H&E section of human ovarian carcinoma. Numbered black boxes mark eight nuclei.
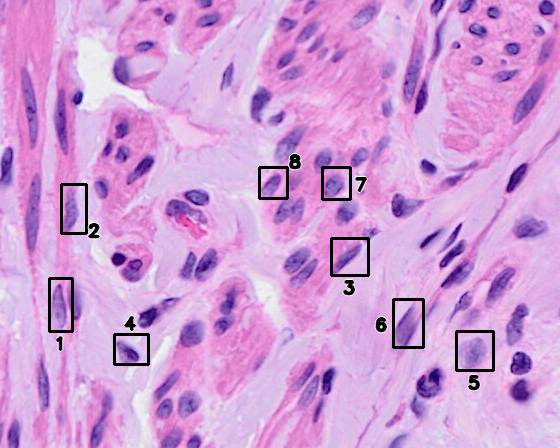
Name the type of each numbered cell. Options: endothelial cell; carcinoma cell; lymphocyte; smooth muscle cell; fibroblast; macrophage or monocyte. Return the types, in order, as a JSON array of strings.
["smooth muscle cell", "smooth muscle cell", "smooth muscle cell", "fibroblast", "fibroblast", "fibroblast", "smooth muscle cell", "smooth muscle cell"]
